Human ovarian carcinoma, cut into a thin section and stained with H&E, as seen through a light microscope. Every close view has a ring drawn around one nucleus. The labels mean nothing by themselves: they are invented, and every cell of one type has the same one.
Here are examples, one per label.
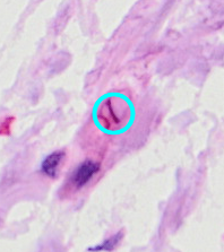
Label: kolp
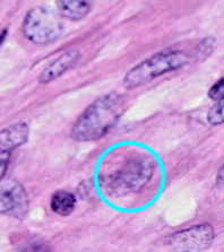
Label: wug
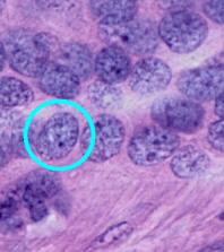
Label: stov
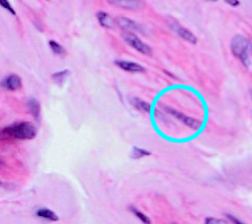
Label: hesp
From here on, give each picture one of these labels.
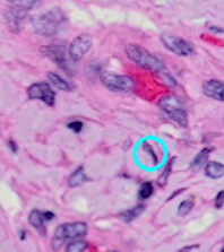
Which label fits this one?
wug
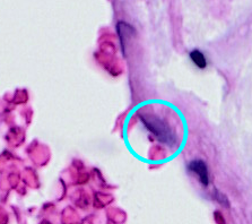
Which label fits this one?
kolp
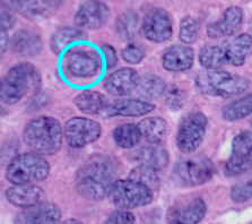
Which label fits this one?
stov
